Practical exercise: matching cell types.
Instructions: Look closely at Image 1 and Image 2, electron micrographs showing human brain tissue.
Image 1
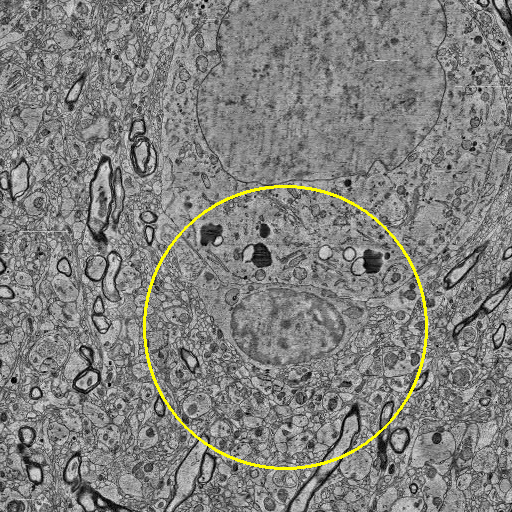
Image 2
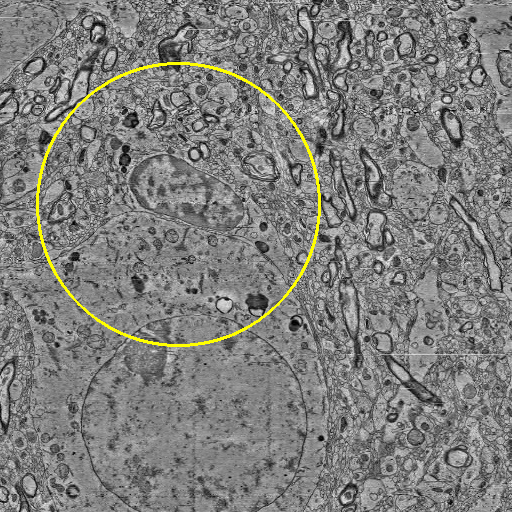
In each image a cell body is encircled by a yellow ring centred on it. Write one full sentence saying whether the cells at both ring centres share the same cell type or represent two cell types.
Across Image 1 and Image 2, the cells at the ring centres represent two cell types.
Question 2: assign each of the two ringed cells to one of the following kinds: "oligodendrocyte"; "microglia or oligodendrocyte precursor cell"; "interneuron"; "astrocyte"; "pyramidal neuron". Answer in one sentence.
The two cells are an oligodendrocyte in the first picture and a microglial cell or oligodendrocyte precursor cell in the second.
